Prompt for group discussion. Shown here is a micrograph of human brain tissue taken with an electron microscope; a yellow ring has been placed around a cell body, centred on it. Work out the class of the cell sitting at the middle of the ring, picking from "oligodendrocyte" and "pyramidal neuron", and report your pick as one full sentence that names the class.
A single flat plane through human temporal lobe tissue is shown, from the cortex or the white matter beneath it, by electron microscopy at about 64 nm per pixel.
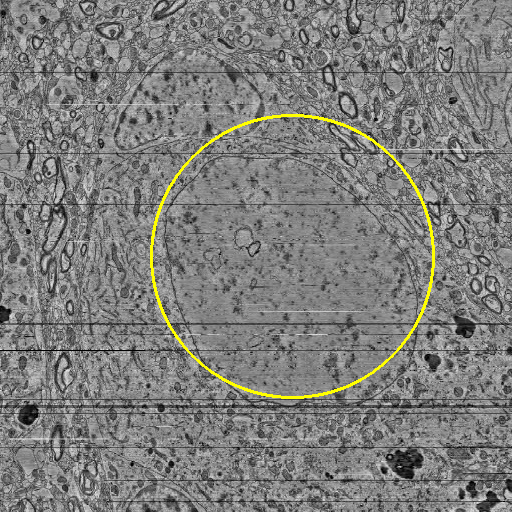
The cell sitting at the middle of the yellow ring is a pyramidal neuron.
